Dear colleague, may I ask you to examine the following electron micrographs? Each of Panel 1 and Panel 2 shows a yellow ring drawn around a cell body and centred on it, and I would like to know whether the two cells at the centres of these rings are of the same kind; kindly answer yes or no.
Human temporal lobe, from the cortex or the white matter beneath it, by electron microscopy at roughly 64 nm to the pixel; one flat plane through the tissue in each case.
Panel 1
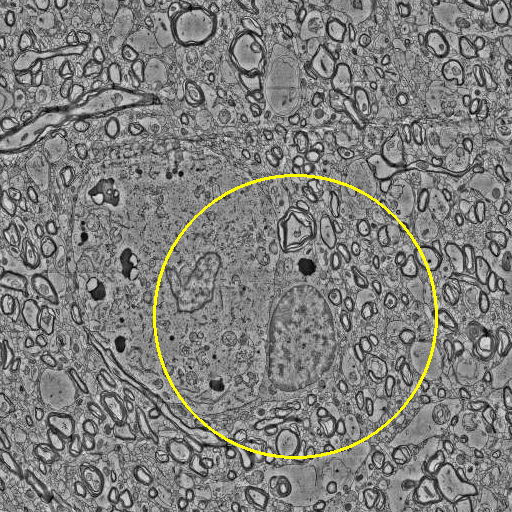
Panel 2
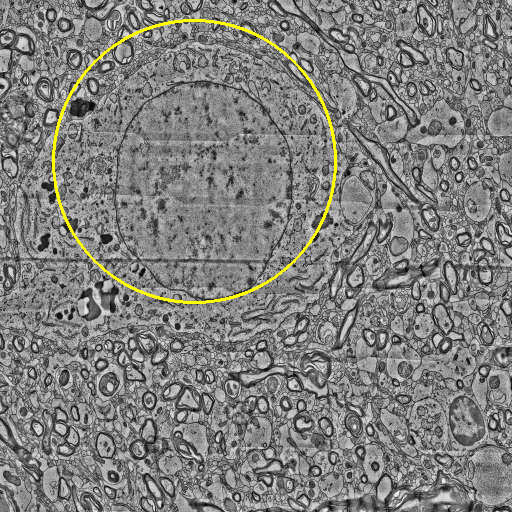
no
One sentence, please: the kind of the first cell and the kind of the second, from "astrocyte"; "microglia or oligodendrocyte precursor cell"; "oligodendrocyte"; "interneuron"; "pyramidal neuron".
The ring in the first picture surrounds an oligodendrocyte, and the ring in the second surrounds a pyramidal neuron.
